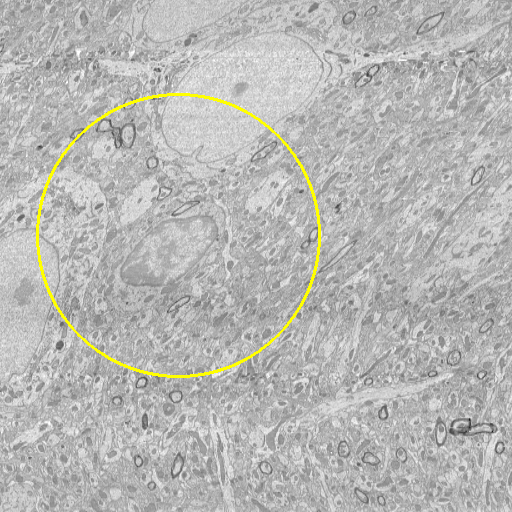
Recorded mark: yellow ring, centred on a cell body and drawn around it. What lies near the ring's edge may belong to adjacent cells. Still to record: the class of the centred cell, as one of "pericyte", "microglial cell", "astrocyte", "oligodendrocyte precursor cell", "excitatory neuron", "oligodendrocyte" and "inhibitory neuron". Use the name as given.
oligodendrocyte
